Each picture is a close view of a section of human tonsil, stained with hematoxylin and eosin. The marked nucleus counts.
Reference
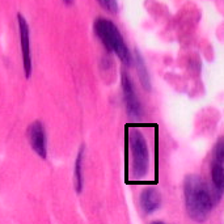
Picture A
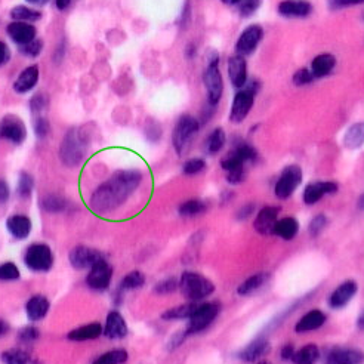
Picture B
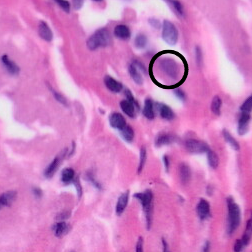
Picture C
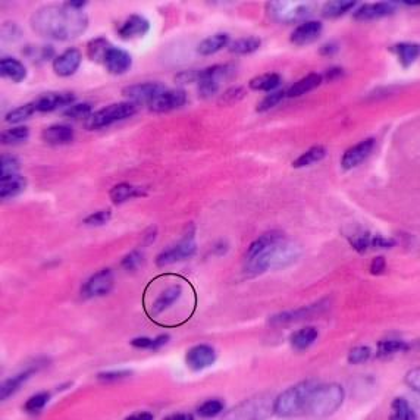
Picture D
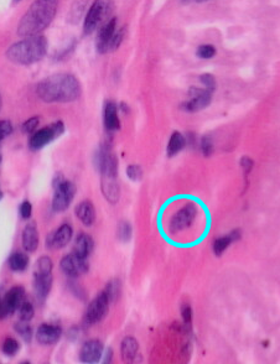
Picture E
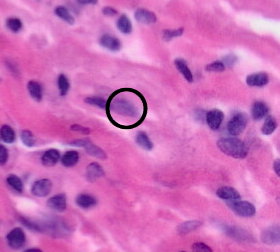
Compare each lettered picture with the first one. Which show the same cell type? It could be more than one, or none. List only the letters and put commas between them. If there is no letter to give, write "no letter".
A, B, E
